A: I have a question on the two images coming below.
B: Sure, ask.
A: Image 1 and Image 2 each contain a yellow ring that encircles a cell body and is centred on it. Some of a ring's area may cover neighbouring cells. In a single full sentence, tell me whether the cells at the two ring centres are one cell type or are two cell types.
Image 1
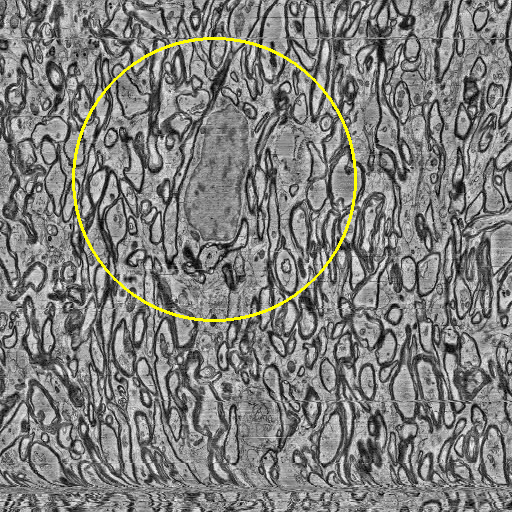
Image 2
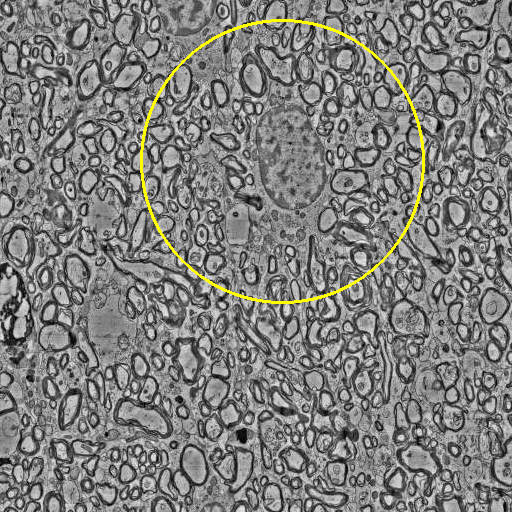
As for the ring-centre cells, the one in Image 1 and the one in Image 2 are one cell type.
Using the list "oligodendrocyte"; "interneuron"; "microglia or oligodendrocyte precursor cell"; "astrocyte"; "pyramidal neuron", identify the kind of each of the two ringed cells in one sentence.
In the first picture and in the second, the ring is centred on an oligodendrocyte.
